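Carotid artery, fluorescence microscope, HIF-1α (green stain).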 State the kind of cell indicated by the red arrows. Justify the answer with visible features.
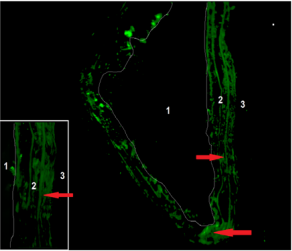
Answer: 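The arrows point at bright green patches within the middle layer of the wall. The green there forms long, wavy, circumferential bands.
Conclusion: smooth muscle cells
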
